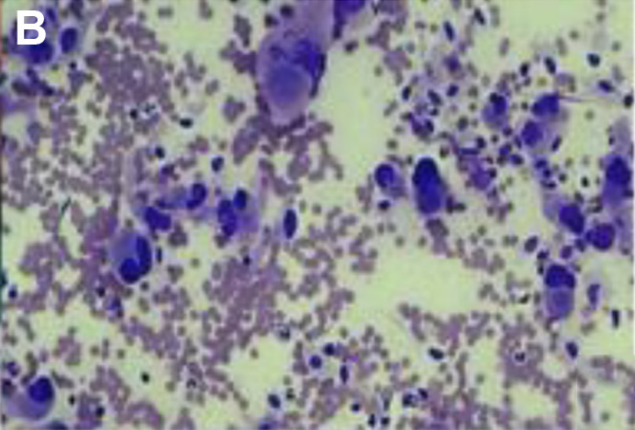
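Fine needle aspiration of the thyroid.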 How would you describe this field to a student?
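The atypical cells vary greatly in size and shape, and their nuclei are dark purple, irregular and of very different sizes. Several cells have a broad rim of pale bluish-purple cytoplasm. Smaller dark nuclei of blood cells lie between them, and no orderly follicular arrangement is seen.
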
